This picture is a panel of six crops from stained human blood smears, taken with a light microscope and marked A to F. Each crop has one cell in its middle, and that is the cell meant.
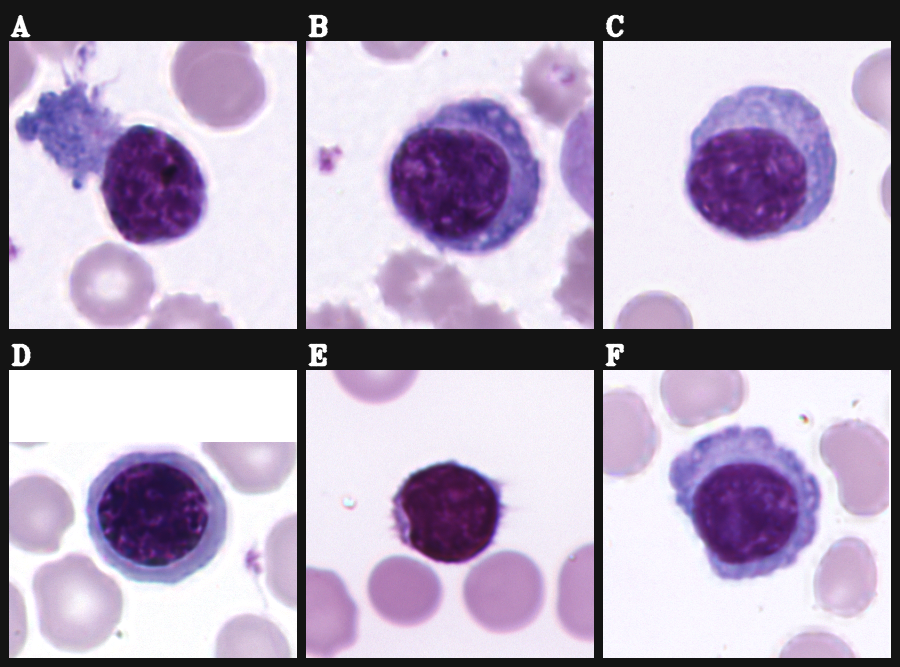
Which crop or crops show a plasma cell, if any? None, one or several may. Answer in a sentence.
Crops A, B, C and F contain plasma cells as their central cells.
